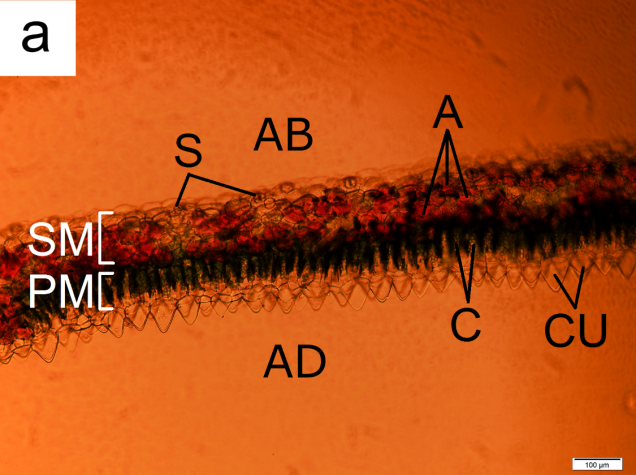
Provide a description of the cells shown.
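A leaf cross-section shows mesophyll cells containing chloroplasts and red-pigmented cells arranged in several layers between the two surfaces. Toward the lower surface lies a palisade layer of tightly packed, elongated columnar cells that appear dark green. Above it the spongy mesophyll is made of rounded cells, many filled with red to purple pigment, intermixed with greenish cells. Along the lower surface a transparent layer forms a regular zigzag outline of pointed ridges. Along the upper surface small rounded stomata can be made out among the epidermal cells.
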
